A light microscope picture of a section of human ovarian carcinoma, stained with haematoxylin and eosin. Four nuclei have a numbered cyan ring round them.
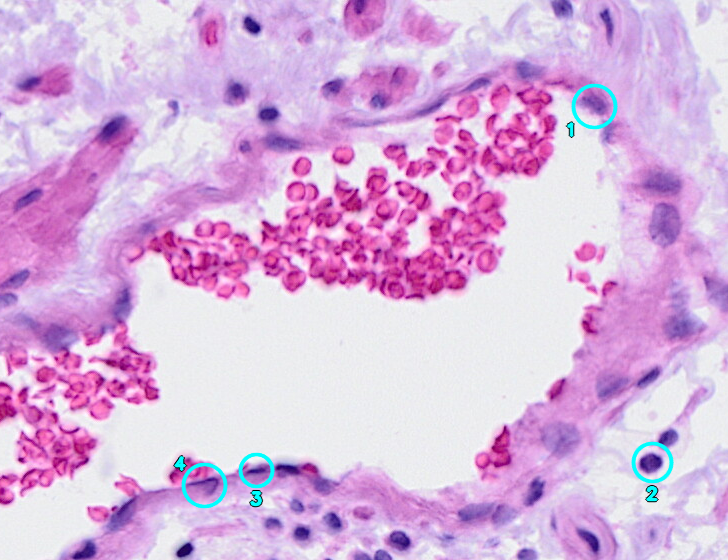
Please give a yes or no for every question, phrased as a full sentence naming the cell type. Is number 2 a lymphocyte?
Yes, and to answer plainly, cell 2 is a lymphocyte.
